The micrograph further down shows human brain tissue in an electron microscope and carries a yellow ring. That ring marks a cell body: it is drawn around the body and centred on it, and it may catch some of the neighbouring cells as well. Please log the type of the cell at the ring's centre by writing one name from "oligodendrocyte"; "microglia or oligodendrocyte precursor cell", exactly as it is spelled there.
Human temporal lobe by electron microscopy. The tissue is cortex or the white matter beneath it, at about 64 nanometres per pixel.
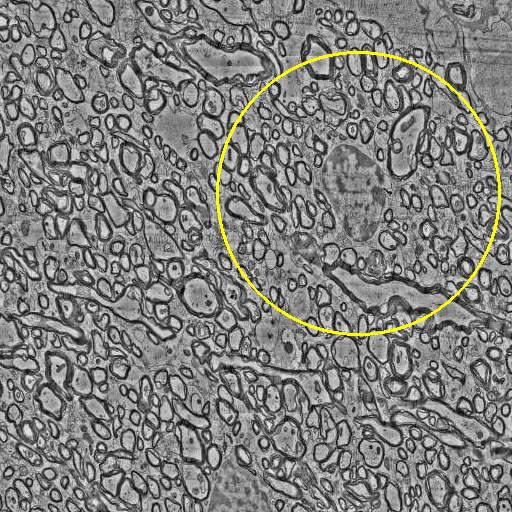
microglia or oligodendrocyte precursor cell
